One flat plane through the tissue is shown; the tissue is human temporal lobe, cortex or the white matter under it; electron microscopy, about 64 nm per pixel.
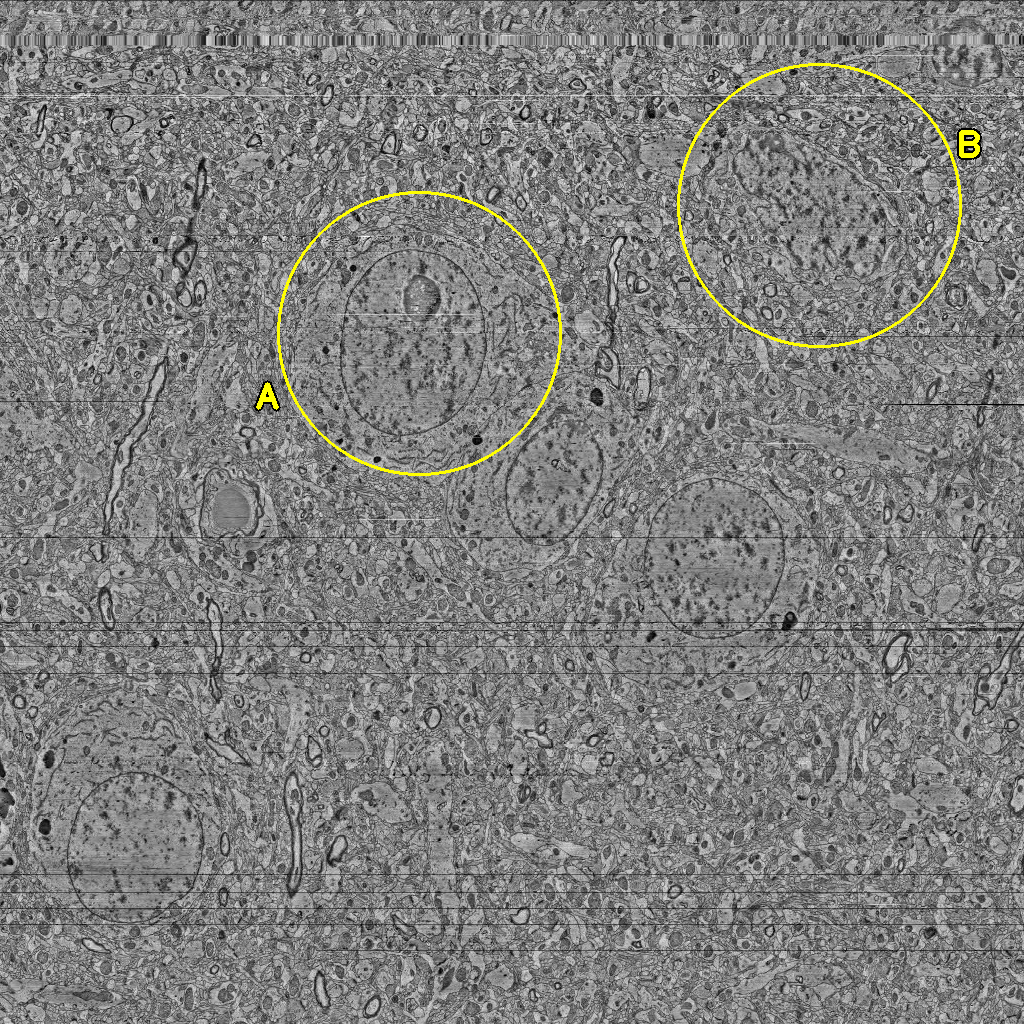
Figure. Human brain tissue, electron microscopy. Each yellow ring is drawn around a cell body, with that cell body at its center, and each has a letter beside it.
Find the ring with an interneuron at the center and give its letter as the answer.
B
